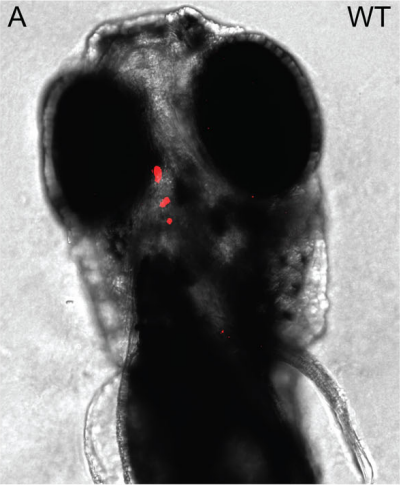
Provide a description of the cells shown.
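This is a ventral view of a whole larval head under transmitted light, with the two large dark eyes at the top and the dense trunk below. Along the midline between and just behind the eyes lies a short chain of small, bright red round spots, the thyroid follicles, set within the otherwise grey tissue of the lower jaw region.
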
